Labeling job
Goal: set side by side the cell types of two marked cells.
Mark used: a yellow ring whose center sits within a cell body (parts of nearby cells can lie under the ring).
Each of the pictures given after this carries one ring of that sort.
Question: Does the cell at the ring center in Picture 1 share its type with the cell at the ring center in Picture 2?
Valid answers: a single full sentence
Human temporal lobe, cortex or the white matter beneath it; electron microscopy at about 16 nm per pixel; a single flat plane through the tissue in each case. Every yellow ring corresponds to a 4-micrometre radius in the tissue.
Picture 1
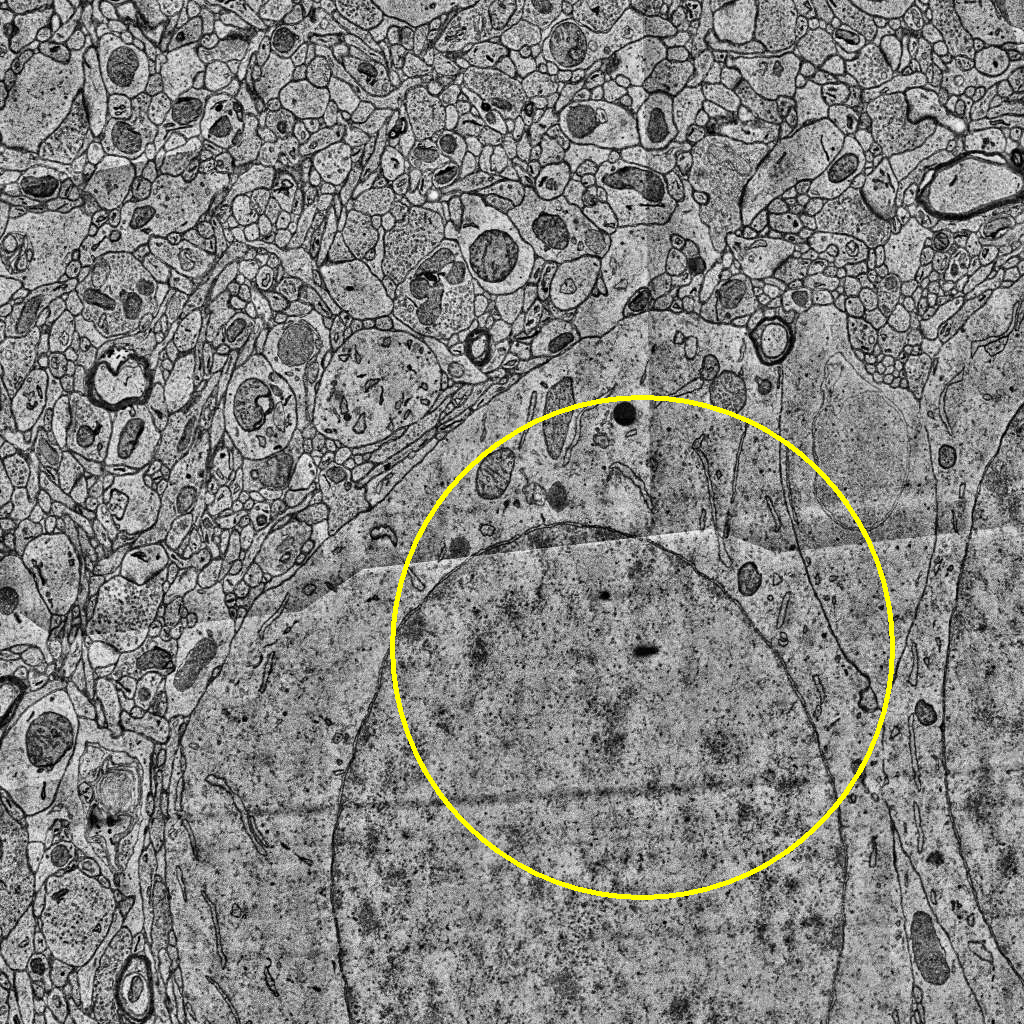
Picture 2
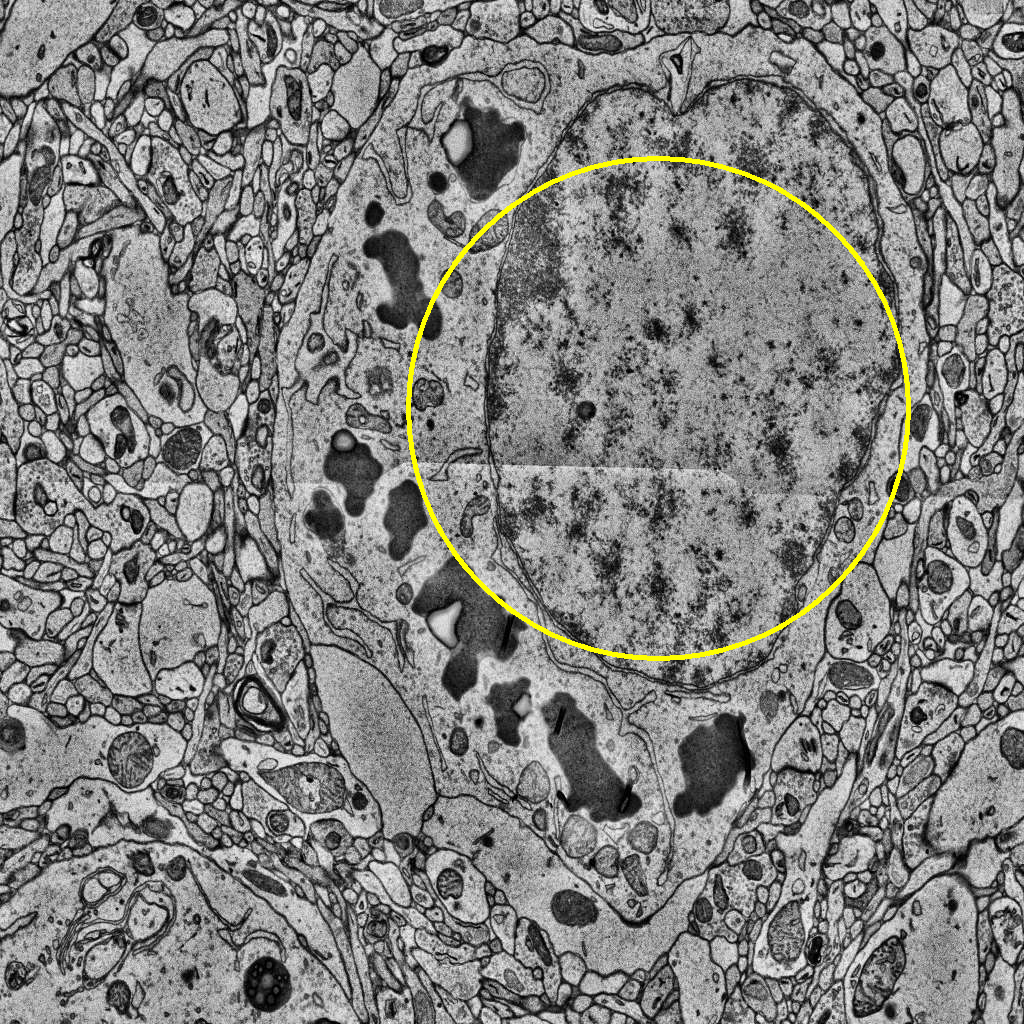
No, in Pictures 1 and 2 the cells at the ring centers have separate types.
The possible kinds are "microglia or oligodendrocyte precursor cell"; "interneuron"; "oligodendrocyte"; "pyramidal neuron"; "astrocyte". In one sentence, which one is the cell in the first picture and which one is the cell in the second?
Of the two, the first cell is a pyramidal neuron and the second cell is an interneuron.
